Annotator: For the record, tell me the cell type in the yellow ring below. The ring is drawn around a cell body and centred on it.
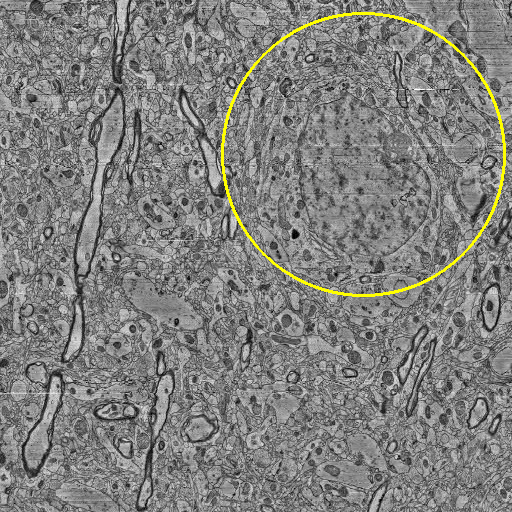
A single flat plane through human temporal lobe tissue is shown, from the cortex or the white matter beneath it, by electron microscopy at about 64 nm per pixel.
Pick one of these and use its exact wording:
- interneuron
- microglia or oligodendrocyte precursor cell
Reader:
interneuron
